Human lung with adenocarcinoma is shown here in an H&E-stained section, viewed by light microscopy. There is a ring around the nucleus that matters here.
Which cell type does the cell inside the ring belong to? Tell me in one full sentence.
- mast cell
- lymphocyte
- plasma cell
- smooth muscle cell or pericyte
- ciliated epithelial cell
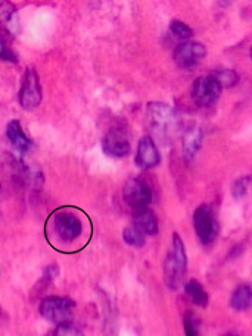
In this field of tissue, the cell inside the ring is a plasma cell.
